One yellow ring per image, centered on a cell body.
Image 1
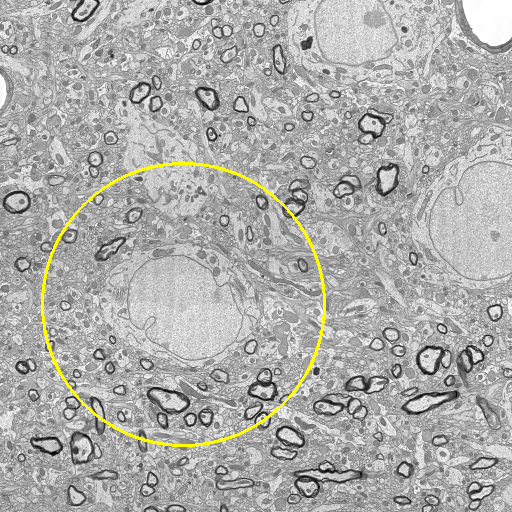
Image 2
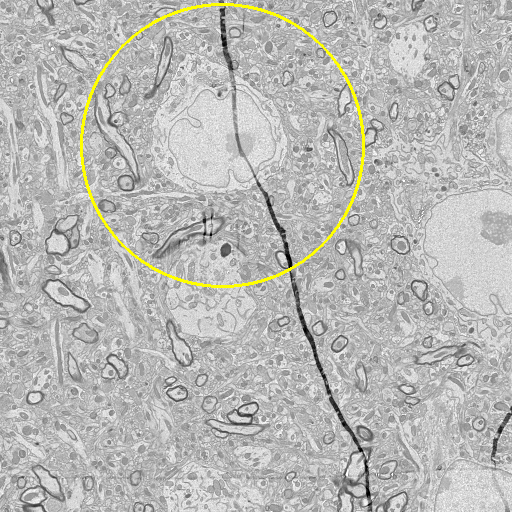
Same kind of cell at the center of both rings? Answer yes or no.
yes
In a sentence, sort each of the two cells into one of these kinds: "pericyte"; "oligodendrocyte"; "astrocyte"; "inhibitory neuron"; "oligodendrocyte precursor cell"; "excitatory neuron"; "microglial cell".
Each of the two cells is an excitatory neuron.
